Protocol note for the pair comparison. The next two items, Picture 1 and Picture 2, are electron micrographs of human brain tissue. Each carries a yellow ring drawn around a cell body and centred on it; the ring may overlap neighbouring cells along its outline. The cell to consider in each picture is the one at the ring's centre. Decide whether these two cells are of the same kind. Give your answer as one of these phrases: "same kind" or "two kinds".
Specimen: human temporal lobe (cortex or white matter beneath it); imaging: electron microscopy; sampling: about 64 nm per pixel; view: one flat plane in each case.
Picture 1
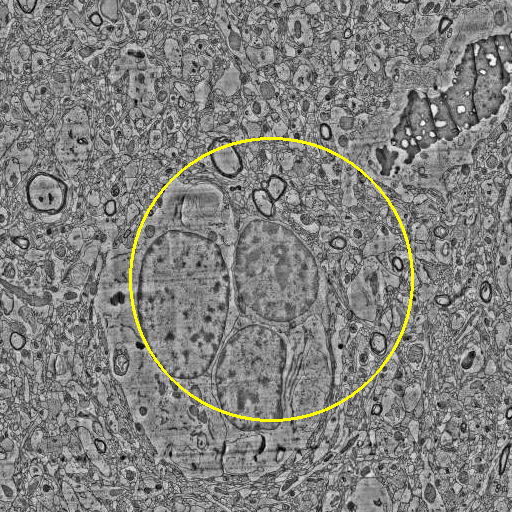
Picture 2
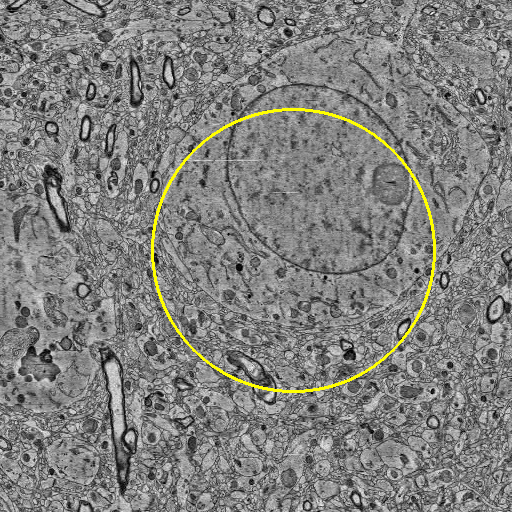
two kinds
